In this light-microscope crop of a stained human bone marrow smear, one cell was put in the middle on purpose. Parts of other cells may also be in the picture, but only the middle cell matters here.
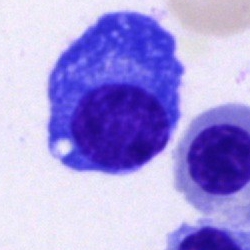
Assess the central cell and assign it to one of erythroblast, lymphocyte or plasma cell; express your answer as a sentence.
The cell at the middle of the frame should be recorded as a plasma cell.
